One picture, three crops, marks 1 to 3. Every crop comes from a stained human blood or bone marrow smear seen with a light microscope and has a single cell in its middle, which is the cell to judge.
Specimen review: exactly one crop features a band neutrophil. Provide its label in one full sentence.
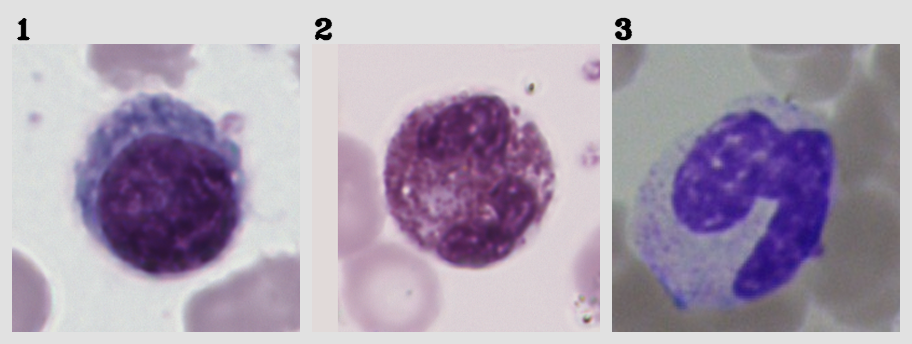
The one showing a band neutrophil is the crop labelled 3.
